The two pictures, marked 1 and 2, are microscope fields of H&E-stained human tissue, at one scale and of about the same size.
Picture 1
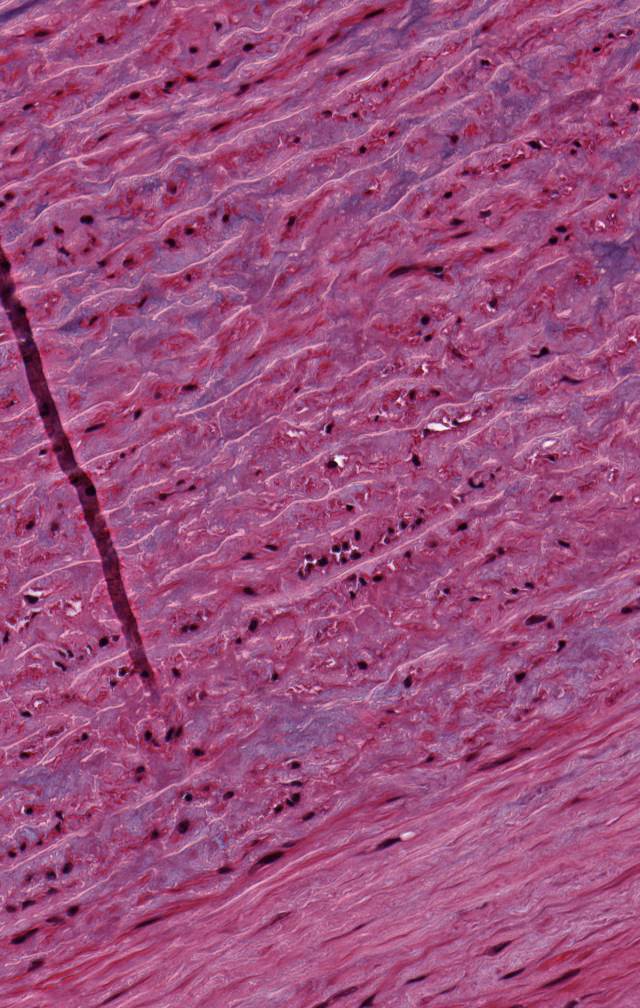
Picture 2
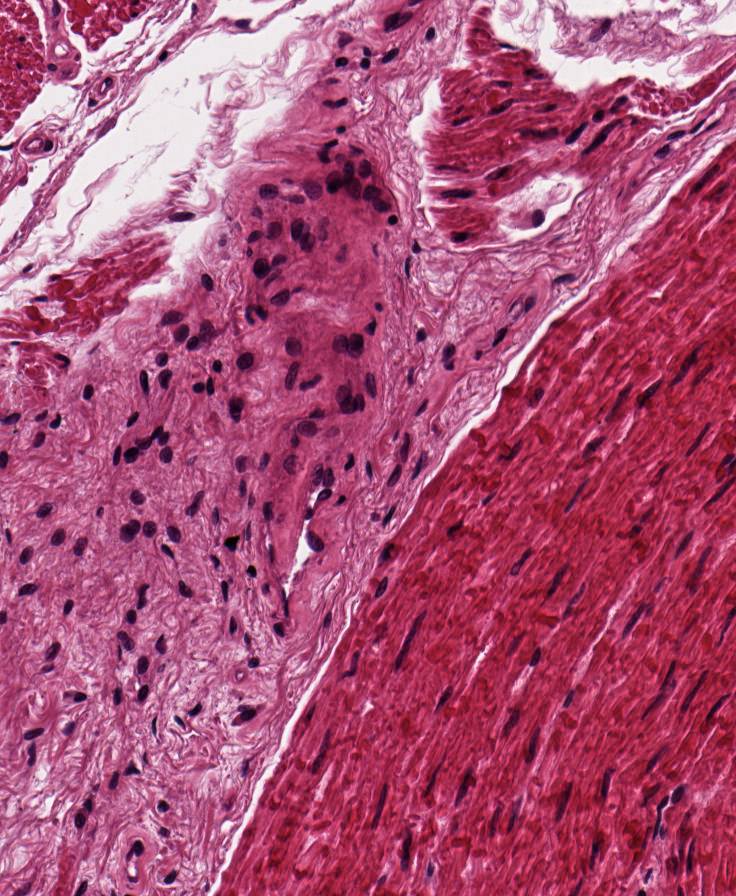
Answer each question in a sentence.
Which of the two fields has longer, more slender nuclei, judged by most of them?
The nuclei are more elongated in picture 2.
